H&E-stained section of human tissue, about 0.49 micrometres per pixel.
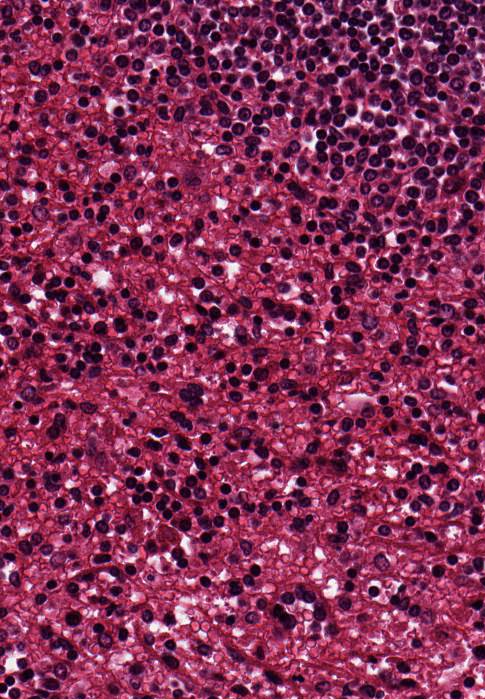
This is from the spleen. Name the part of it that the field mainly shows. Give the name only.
red pulp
